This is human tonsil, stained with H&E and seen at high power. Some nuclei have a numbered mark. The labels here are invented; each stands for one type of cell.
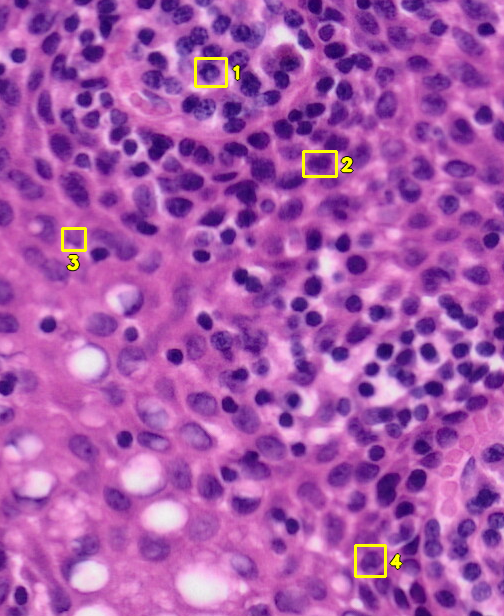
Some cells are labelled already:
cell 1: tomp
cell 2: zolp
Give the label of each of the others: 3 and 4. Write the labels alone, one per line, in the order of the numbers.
zolp
zolp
